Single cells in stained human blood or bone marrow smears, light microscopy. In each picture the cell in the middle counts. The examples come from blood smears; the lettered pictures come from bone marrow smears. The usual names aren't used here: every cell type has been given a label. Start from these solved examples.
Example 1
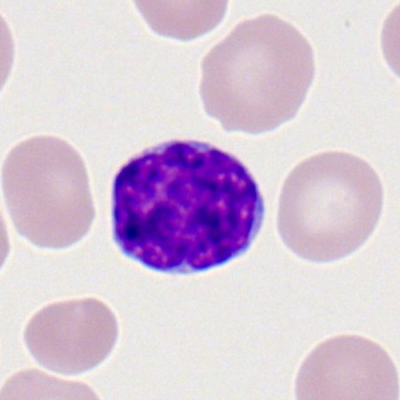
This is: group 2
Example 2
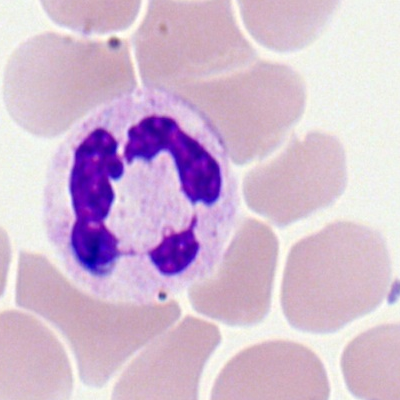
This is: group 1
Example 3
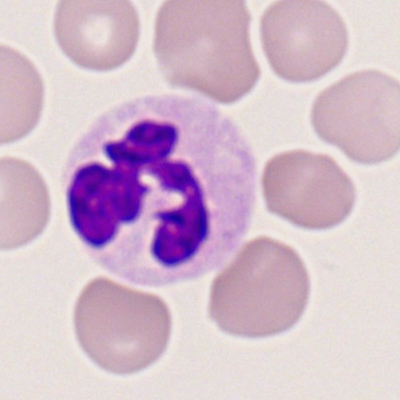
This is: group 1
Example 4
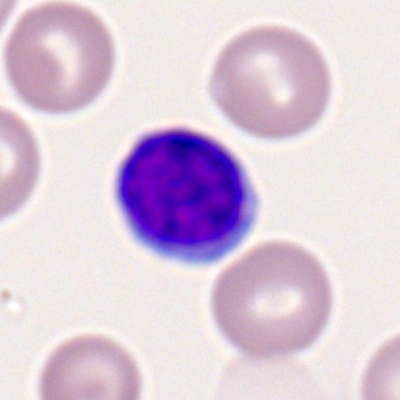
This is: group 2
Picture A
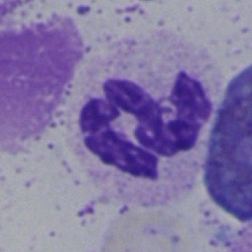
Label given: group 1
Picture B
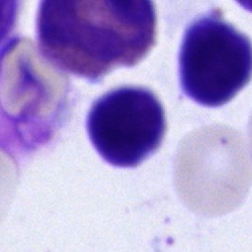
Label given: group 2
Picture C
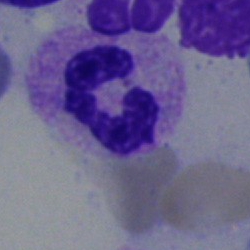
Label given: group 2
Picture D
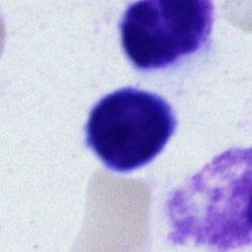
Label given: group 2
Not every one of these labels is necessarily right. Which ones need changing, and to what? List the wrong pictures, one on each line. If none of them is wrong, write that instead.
C: change group 2 to group 1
